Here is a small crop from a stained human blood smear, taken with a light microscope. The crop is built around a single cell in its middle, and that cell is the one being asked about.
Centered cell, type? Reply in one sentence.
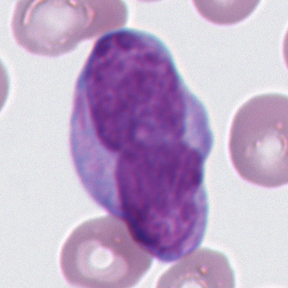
On this slide crop, the central cell is an atypical promyelocyte.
